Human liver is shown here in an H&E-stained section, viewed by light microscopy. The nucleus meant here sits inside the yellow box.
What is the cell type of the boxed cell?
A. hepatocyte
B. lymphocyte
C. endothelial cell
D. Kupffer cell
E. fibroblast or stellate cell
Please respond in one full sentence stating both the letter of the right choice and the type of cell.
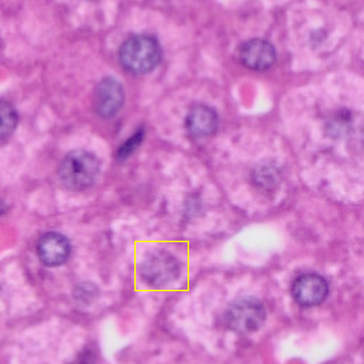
It is option A that correctly calls the boxed cell a hepatocyte.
